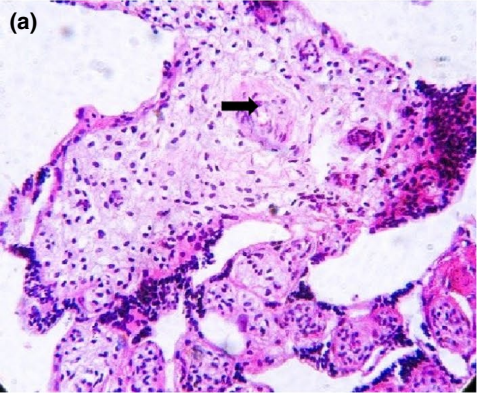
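A large stem villus of the placenta fills most of the field, its stroma pale and loose with many scattered spindle-shaped and oval dark purple nuclei. Within the stroma lie small vessel profiles with narrow lumina, one of them marked by an arrow. Along the right edge of the villus lie dense clusters of small, dark, crowded nuclei. Below and to the side, smaller villi are cut in cross section, each with a thin purple-nucleated covering layer and its own pale stroma. Clear white spaces separate the villi.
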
